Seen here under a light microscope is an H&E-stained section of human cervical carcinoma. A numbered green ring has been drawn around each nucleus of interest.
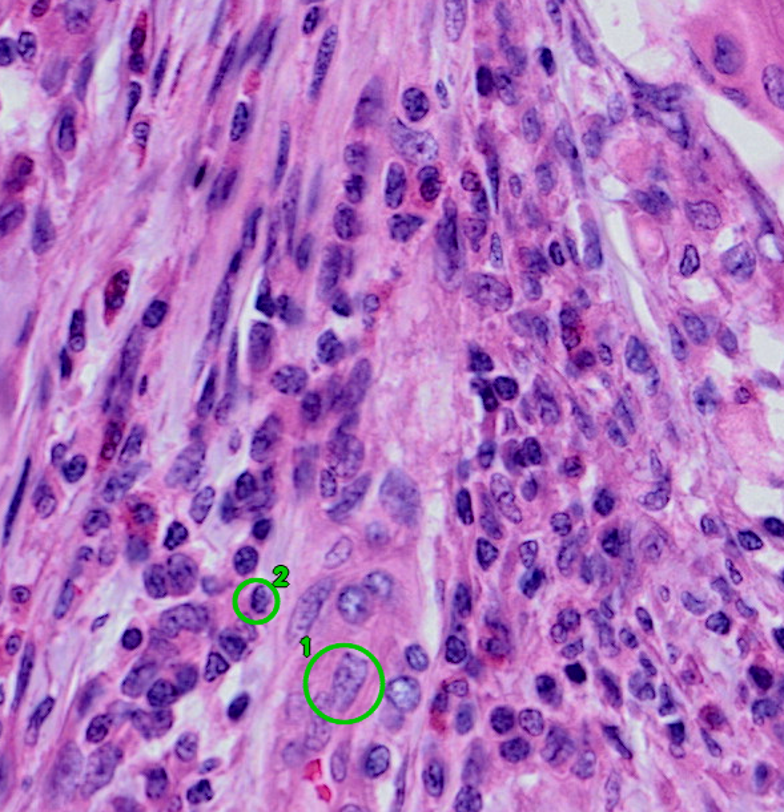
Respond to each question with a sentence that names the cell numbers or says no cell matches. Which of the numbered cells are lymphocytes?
Cell 2 is a lymphocyte; every other numbered cell is something else.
